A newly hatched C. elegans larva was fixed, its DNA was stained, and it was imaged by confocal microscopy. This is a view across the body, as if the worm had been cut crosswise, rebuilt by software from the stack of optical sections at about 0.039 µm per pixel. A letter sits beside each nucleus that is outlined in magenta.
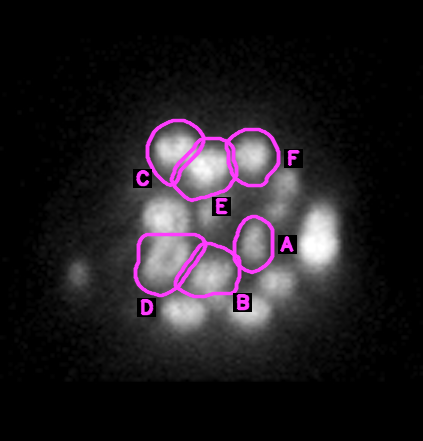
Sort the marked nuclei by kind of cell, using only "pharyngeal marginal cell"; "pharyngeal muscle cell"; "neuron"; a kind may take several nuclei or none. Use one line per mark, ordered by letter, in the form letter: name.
A: pharyngeal marginal cell
B: pharyngeal muscle cell
C: neuron
D: pharyngeal muscle cell
E: neuron
F: neuron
